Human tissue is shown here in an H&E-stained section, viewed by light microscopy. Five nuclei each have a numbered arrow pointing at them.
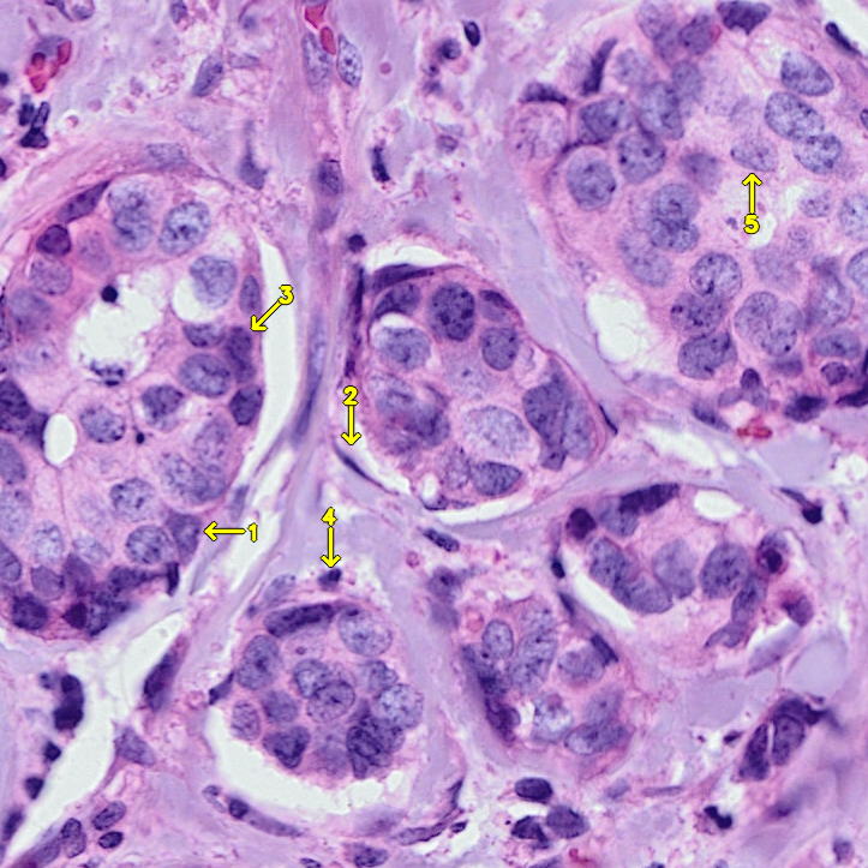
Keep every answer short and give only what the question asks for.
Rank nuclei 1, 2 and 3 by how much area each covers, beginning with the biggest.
1, 3, 2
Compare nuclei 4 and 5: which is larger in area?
5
